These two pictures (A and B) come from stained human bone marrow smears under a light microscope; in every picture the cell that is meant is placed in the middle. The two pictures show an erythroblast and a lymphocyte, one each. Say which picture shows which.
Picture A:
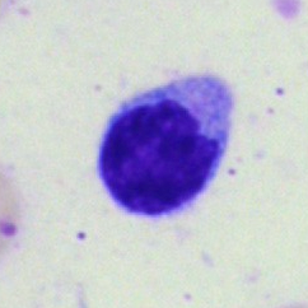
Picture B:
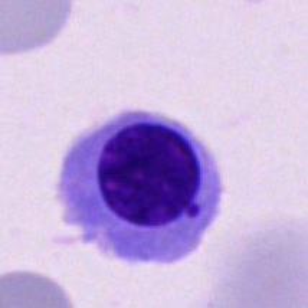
A: lymphocyte
B: erythroblast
